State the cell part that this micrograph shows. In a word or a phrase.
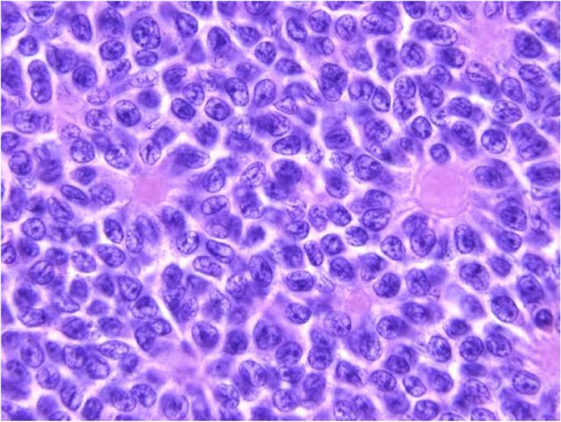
“coffee bean” nuclei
